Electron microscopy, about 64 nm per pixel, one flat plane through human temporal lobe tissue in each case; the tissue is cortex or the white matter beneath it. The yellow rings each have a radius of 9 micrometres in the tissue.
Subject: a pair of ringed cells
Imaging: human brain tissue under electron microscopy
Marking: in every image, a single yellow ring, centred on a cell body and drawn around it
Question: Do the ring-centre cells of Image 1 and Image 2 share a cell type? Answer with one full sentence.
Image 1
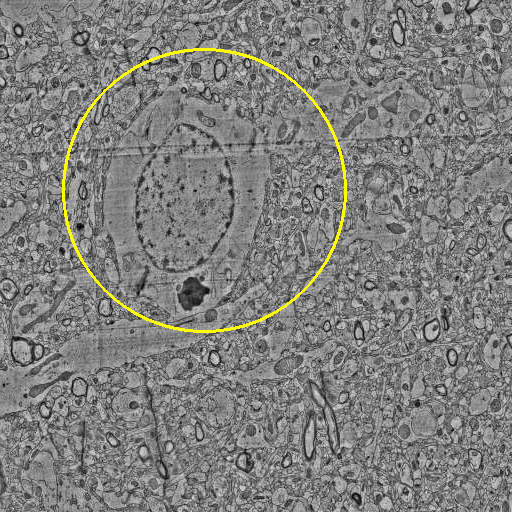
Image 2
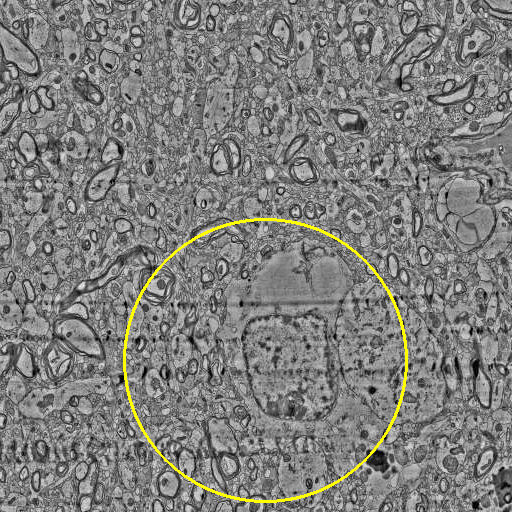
Yes, at each ring's centre in the images sits a cell of one common type.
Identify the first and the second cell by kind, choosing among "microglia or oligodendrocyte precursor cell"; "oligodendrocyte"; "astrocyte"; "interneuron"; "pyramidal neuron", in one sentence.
Each of the two cells is an astrocyte.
